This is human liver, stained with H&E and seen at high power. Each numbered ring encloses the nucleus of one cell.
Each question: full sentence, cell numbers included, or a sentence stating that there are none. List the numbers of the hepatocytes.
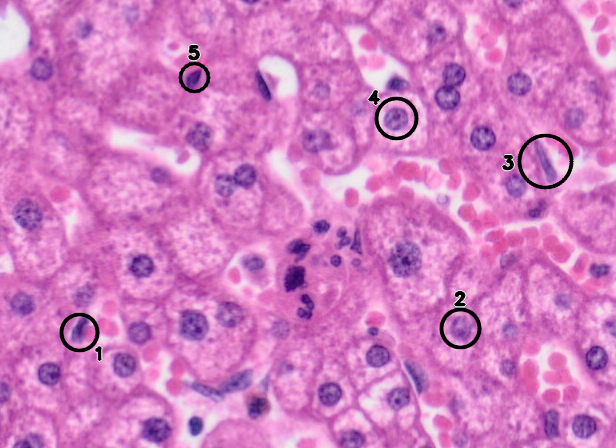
Regarding the numbered cells 2 and 4, these are hepatocytes.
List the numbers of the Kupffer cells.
Whereas cell 3 is a Kupffer cell, the other numbered cells are not.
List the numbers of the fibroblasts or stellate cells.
The cell labelled 5 is a fibroblast or stellate cell, while the remaining numbered cells are not.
